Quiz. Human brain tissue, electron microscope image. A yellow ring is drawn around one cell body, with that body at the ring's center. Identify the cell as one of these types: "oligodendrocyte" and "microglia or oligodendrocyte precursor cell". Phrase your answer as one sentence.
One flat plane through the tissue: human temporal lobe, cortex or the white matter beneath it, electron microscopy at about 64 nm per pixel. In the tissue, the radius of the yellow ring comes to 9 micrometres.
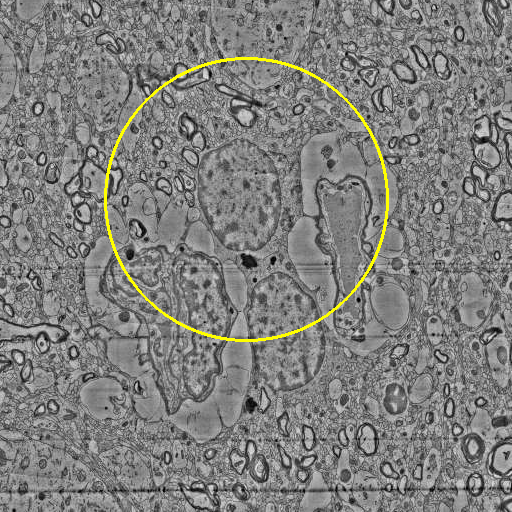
At the center of the ring sits an oligodendrocyte.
